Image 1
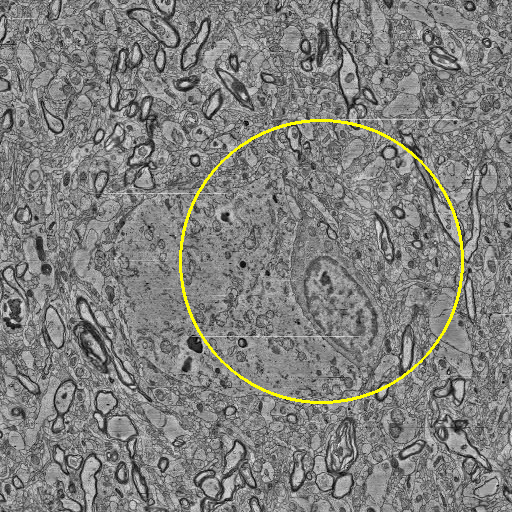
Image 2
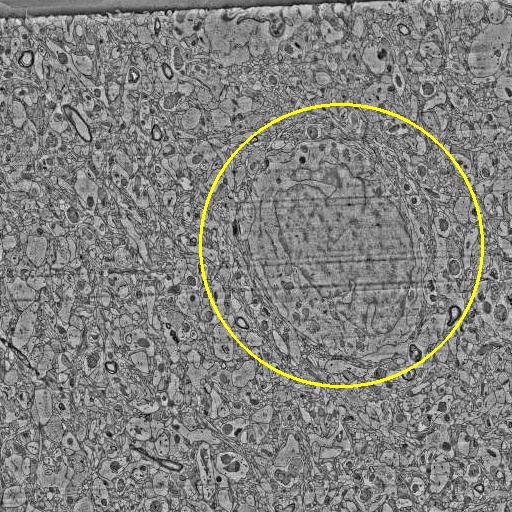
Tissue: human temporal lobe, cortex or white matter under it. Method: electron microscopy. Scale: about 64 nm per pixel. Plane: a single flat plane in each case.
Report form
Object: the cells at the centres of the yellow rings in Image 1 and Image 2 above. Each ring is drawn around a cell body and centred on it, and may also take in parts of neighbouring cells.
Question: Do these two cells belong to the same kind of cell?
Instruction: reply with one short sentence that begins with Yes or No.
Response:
No, they belong to two kinds of cell.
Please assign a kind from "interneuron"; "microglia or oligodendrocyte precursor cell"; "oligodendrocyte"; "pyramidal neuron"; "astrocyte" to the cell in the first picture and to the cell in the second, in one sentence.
In the first picture we have an oligodendrocyte, and in the second, an interneuron.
